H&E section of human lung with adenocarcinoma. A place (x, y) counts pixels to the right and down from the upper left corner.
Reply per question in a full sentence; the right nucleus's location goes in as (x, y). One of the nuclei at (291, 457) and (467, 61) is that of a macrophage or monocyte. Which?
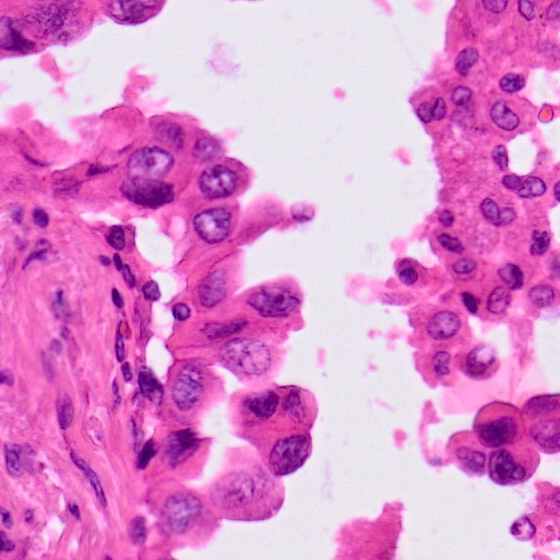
Located at (467, 61), this nucleus is the one belonging to a macrophage or monocyte.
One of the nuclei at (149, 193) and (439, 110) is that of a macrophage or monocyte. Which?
Answering which nucleus it is: the one at (439, 110), belonging to a macrophage or monocyte.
